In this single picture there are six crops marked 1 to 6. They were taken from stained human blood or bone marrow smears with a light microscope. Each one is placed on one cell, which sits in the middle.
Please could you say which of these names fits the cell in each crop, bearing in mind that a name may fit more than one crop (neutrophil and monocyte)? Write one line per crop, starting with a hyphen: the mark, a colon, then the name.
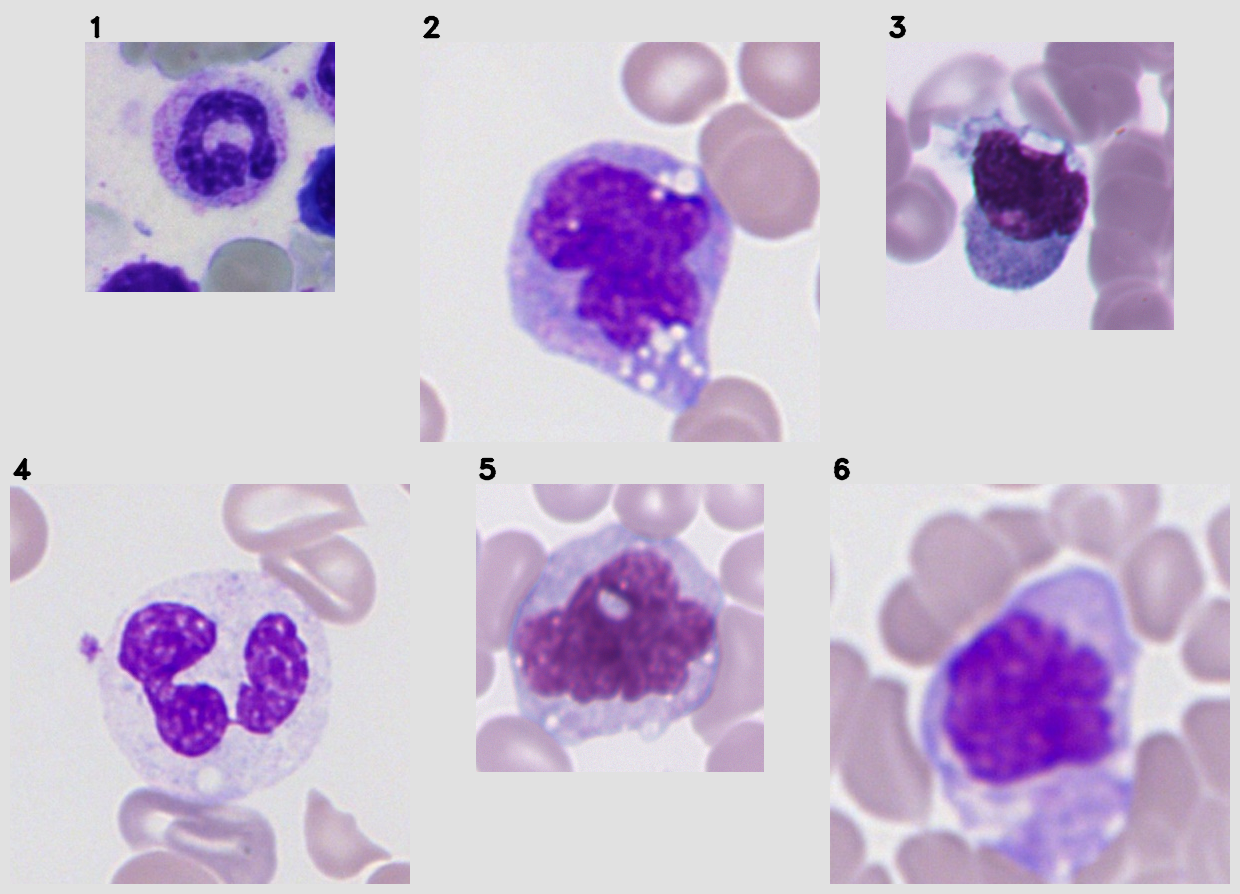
- 1: neutrophil
- 2: monocyte
- 3: monocyte
- 4: neutrophil
- 5: monocyte
- 6: monocyte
